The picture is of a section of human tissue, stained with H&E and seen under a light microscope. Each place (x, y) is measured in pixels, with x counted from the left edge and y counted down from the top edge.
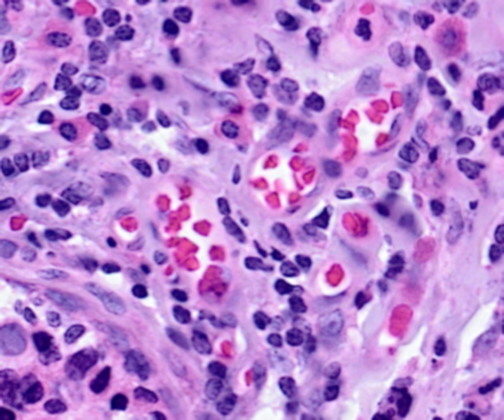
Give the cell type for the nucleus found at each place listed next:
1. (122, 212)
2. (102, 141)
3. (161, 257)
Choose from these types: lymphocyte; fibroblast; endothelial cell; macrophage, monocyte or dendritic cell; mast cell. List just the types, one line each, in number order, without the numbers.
endothelial cell
lymphocyte
endothelial cell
